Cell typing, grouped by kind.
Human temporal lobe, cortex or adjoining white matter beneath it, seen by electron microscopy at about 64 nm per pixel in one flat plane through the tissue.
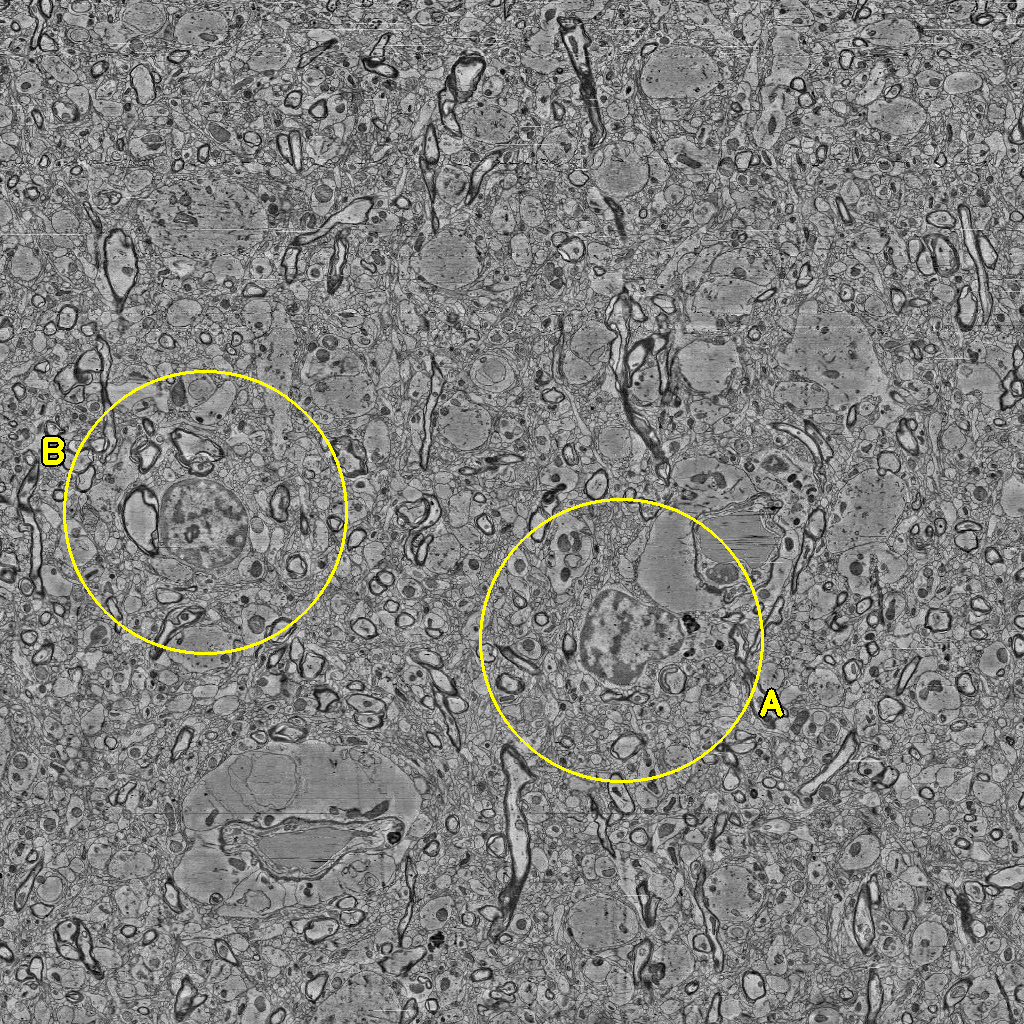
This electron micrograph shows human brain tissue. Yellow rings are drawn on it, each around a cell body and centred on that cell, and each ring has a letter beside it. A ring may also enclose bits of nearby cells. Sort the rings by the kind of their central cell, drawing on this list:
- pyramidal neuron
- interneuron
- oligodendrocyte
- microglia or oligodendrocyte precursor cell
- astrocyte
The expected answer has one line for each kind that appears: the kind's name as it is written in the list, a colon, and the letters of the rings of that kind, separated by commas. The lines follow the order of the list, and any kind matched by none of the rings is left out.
oligodendrocyte: B
microglia or oligodendrocyte precursor cell: A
